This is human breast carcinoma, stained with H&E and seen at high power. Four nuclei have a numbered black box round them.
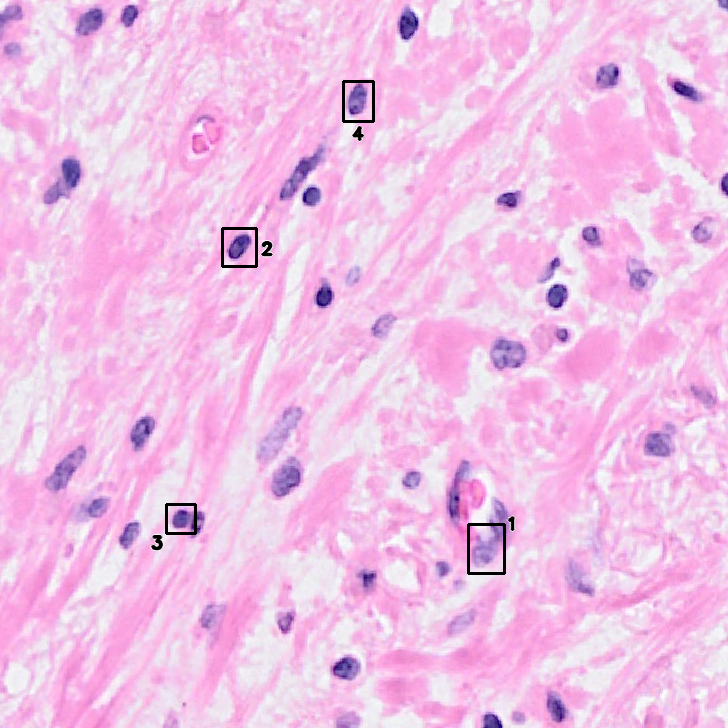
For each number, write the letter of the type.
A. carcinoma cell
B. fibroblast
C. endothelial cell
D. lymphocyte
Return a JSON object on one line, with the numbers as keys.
{"1": "C", "2": "D", "3": "D", "4": "D"}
